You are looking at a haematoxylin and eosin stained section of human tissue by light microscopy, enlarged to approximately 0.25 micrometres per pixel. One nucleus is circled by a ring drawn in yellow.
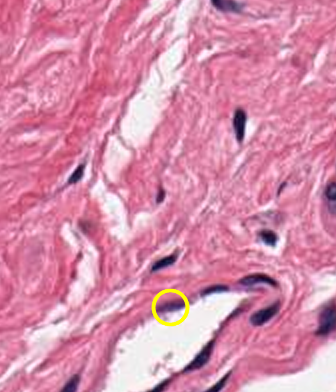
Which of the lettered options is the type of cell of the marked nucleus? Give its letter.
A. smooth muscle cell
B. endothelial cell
B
